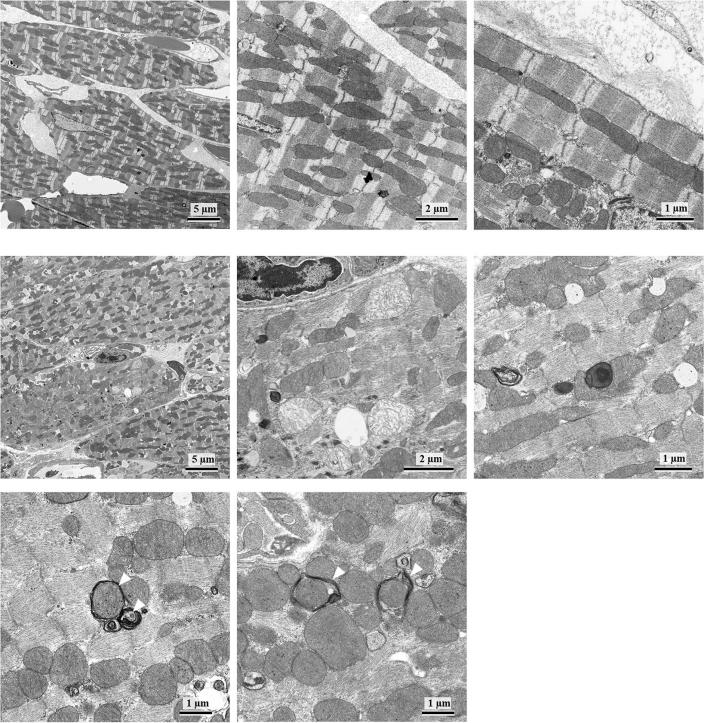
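These are electron micrographs of cardiac muscle fibers at increasing magnification. In the top row the myofibrils run in orderly parallel bundles with clear striations, and elongated, dark mitochondria lie in neat rows between them, lined up along the fibers. In the lower rows the fibers look disordered: the myofibrils are less regular, and the mitochondria are smaller, rounder and scattered. Some mitochondria look pale and swollen with broken-up inner membranes, and several round bodies are wrapped by concentric layered membranes, marked by white arrowheads. A nucleus with dense chromatin is visible at the top of one view.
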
